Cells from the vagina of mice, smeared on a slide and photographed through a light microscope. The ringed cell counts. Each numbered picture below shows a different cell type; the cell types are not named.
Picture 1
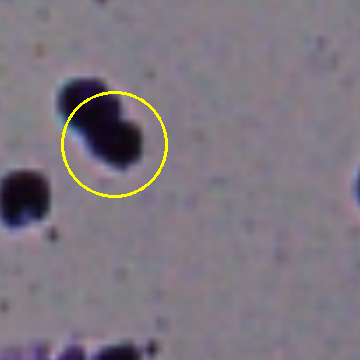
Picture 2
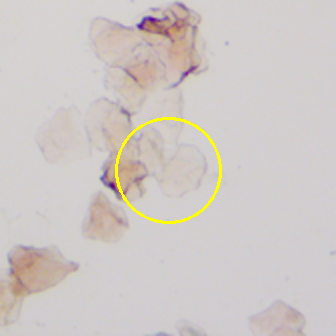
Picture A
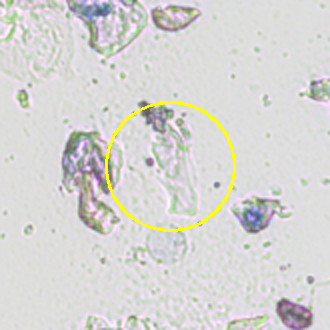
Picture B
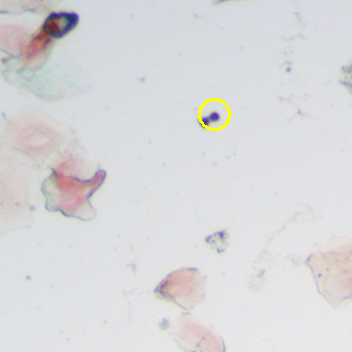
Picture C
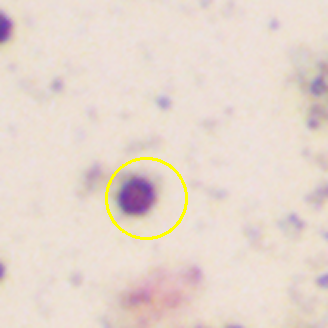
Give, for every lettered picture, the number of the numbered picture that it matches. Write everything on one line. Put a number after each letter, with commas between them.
A 2, B 1, C 1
